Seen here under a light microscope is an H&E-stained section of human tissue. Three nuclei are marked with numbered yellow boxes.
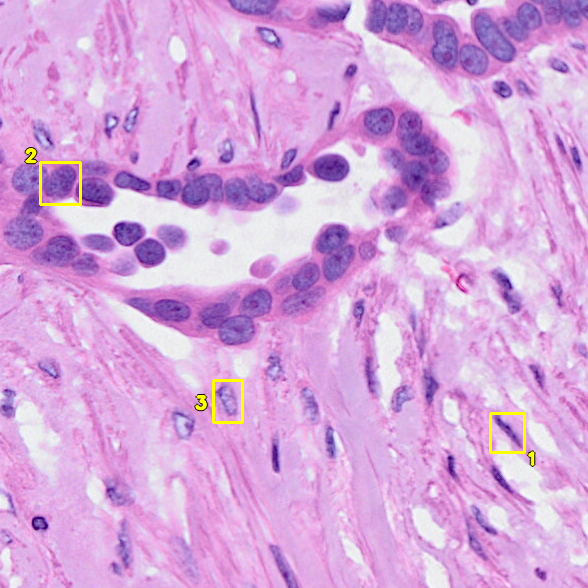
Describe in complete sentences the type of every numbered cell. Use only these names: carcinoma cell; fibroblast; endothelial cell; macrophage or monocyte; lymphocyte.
Cells 1 and 3 are fibroblasts. Cell 2 is a carcinoma cell.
